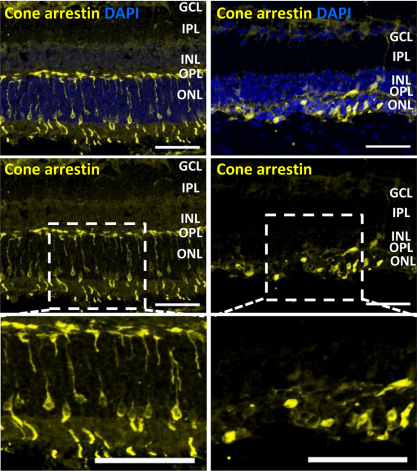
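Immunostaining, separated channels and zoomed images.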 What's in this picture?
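In the left column the yellow cells are slender and evenly spaced, each running vertically through a thick outer nuclear layer with a process reaching up to the outer plexiform layer. In the right column the outer nuclear layer is reduced to a thin band, and the yellow cells are few, short and irregular, with rounded, clumped bodies and no long vertical processes. The enlarged views at the bottom make this loss of the orderly palisade of cells especially clear.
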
